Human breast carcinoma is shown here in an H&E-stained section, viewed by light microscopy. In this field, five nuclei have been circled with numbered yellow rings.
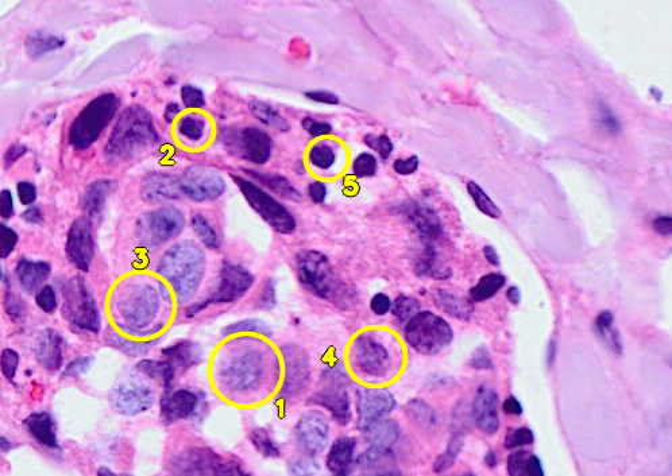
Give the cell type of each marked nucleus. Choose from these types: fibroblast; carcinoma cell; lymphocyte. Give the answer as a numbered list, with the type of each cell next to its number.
1. carcinoma cell
2. lymphocyte
3. carcinoma cell
4. carcinoma cell
5. lymphocyte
